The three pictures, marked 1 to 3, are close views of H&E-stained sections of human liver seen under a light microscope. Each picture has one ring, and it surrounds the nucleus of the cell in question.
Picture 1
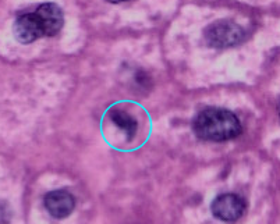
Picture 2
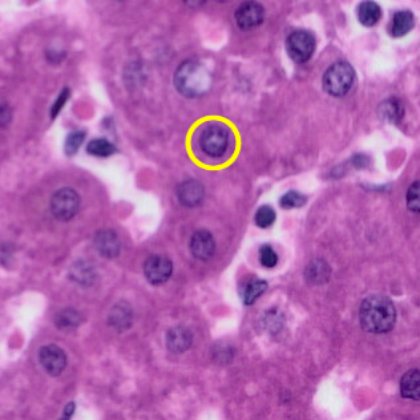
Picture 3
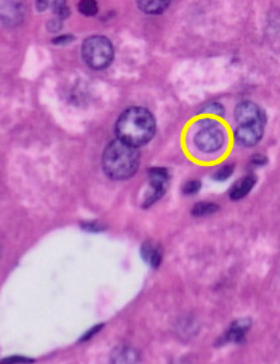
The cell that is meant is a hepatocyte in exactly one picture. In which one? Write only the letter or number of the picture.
2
